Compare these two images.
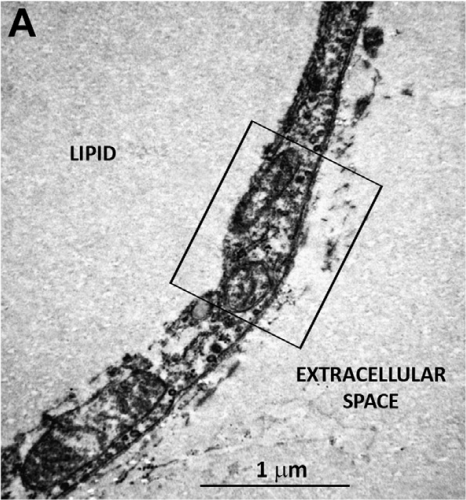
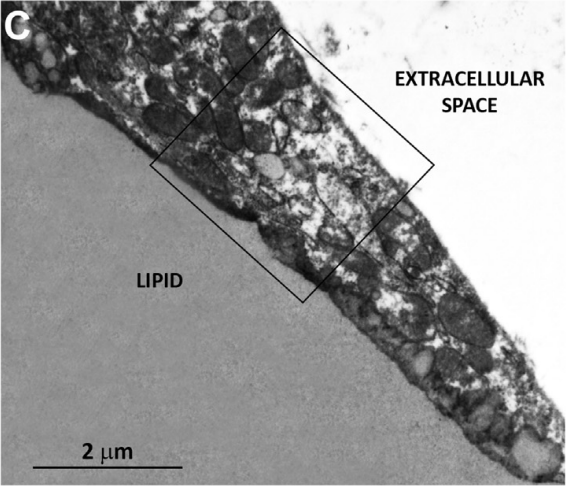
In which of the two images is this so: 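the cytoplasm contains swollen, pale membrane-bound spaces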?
the second image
